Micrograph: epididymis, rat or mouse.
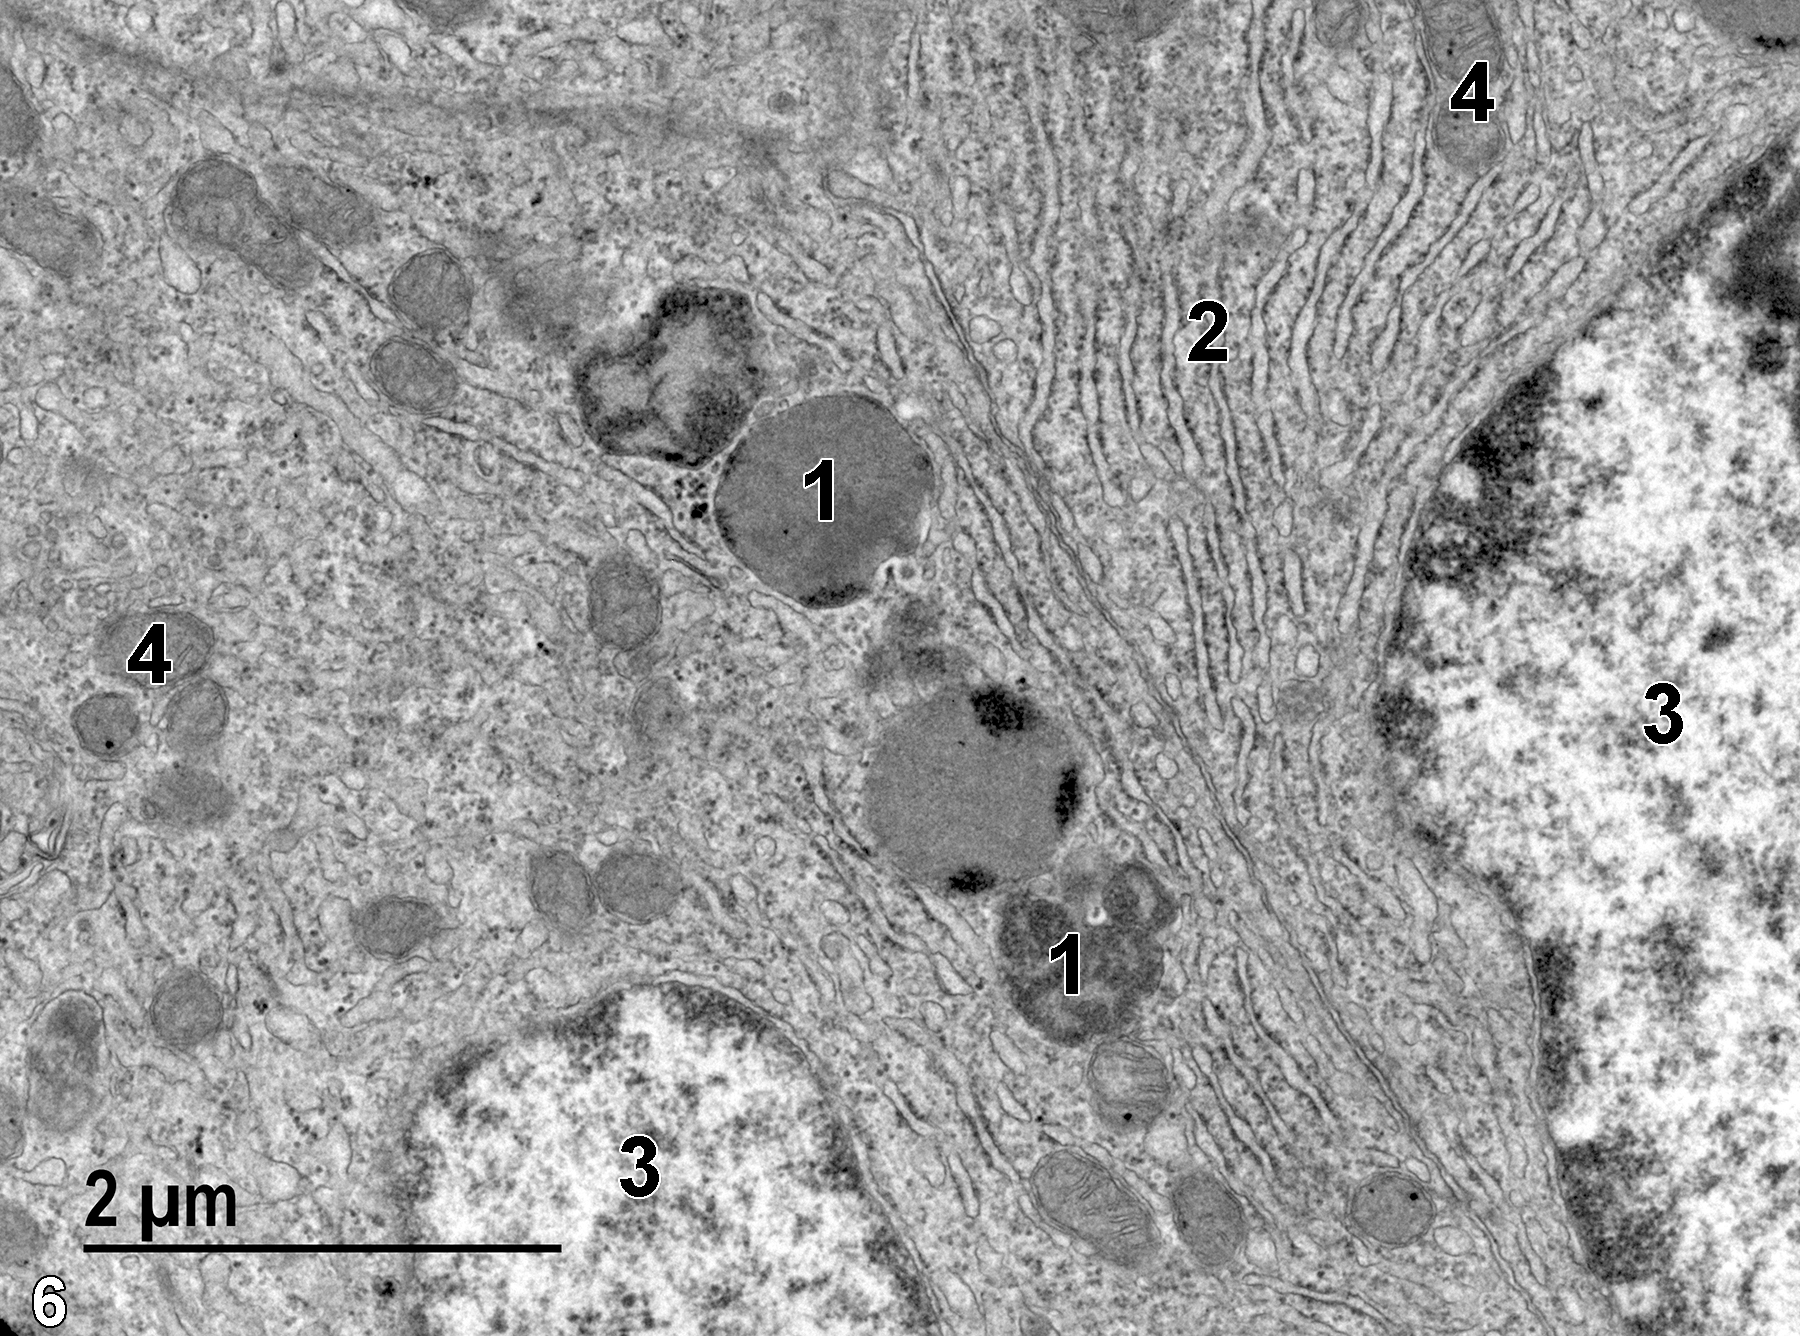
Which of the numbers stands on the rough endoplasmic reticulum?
It's 2.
